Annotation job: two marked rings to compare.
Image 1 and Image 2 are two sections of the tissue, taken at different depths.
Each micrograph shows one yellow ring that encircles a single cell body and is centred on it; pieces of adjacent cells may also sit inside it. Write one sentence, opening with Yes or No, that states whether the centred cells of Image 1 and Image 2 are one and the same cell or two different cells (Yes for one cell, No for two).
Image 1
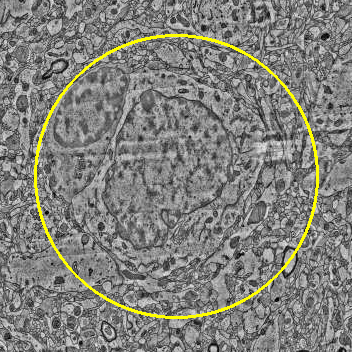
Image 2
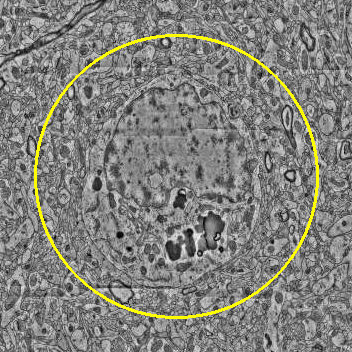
No, the two rings refer to two distinct cells.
